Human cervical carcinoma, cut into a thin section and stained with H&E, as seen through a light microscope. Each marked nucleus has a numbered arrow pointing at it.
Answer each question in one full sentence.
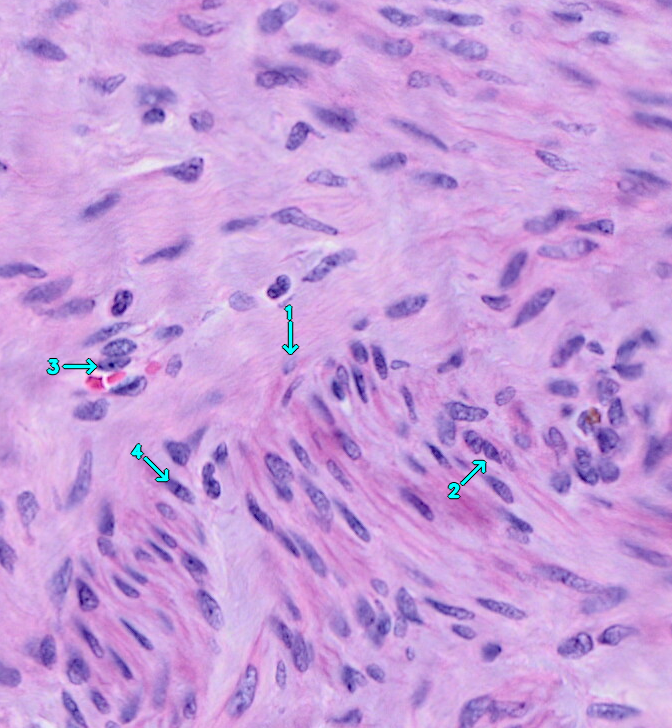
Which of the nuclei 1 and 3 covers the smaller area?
With nucleus 3 about 2 times its size, nucleus 1 is the smaller of the two.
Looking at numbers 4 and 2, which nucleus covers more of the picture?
Nucleus 4 is larger, with an area about 2 times that of nucleus 2.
